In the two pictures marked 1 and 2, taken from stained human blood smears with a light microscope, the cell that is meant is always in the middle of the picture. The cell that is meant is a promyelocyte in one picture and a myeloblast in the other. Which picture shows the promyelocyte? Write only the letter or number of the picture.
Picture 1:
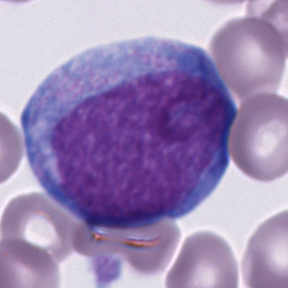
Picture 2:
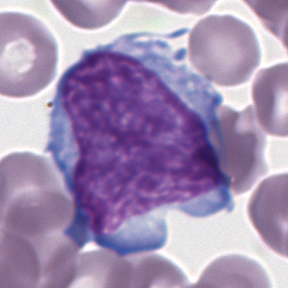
1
